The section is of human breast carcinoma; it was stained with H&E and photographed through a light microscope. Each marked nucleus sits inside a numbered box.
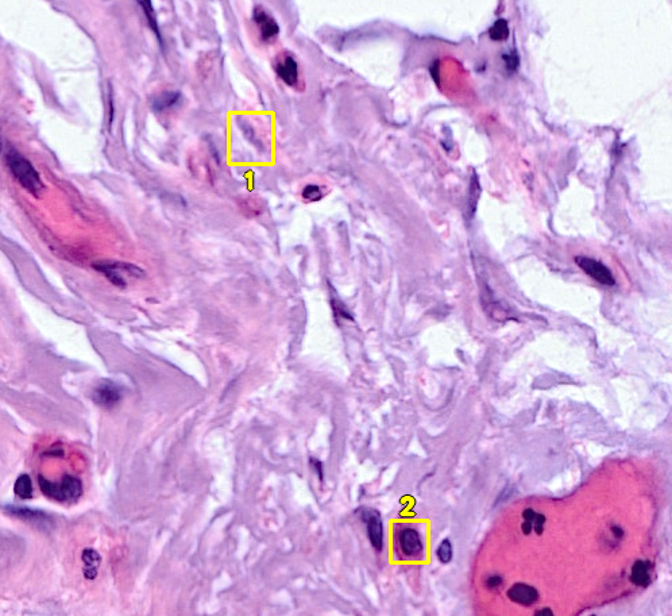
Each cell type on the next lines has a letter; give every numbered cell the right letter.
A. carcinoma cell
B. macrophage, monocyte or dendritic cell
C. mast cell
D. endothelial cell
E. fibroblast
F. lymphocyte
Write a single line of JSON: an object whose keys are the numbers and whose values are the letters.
{"1": "E", "2": "C"}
